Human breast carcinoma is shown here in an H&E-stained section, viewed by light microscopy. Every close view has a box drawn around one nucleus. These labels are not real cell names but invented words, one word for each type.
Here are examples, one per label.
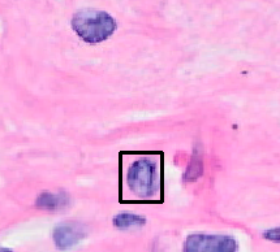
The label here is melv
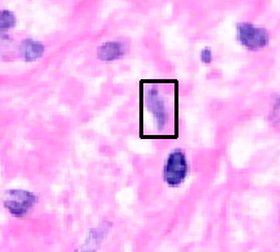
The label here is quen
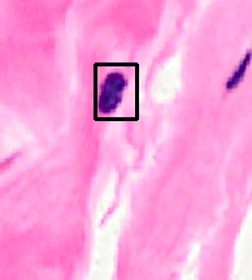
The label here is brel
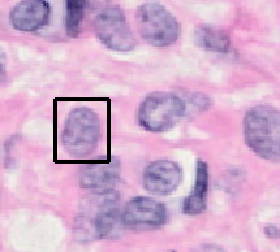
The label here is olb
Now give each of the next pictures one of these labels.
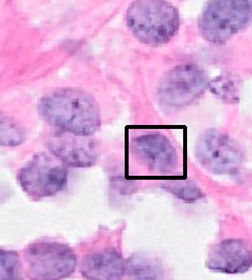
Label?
olb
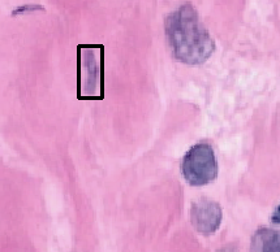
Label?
quen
